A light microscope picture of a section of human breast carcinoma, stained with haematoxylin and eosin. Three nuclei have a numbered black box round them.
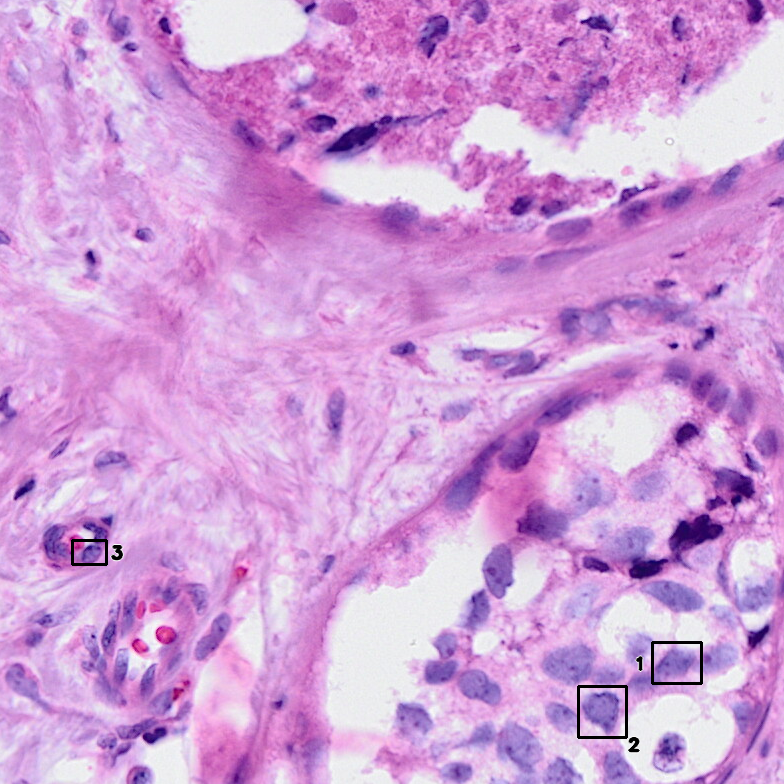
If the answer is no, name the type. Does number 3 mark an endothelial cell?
Yes.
